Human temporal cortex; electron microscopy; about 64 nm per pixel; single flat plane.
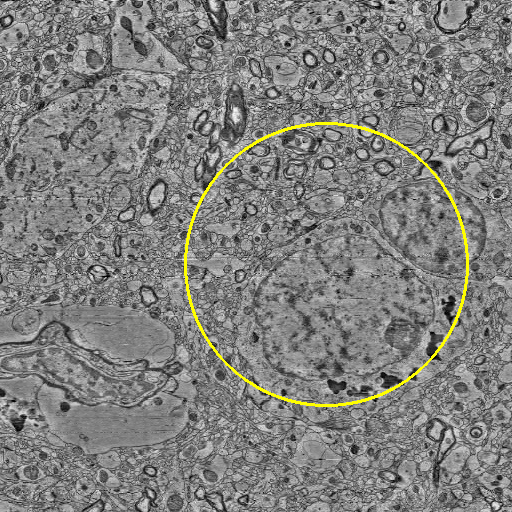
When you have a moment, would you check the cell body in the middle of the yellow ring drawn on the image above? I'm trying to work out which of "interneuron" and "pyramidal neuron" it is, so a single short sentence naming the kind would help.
This cell body belongs to an interneuron.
